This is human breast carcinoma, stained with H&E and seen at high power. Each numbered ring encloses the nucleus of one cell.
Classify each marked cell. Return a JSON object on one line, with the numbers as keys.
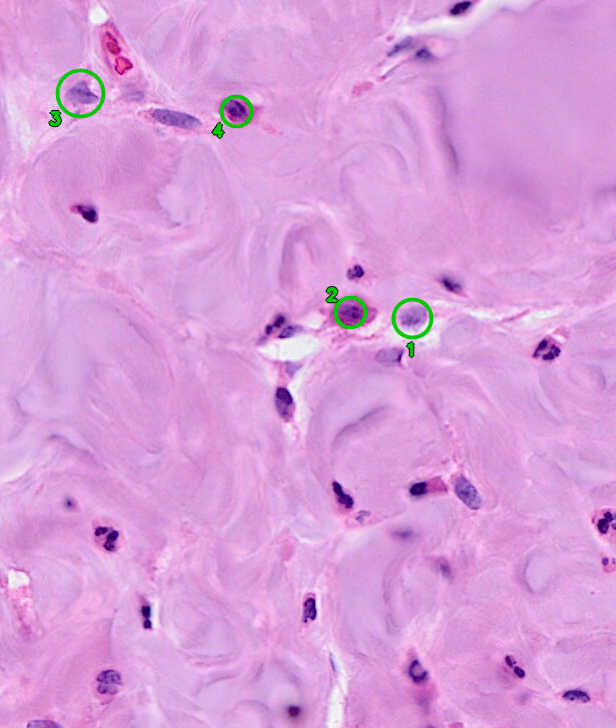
{"1": "fibroblast", "2": "mast cell", "3": "fibroblast", "4": "mast cell"}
